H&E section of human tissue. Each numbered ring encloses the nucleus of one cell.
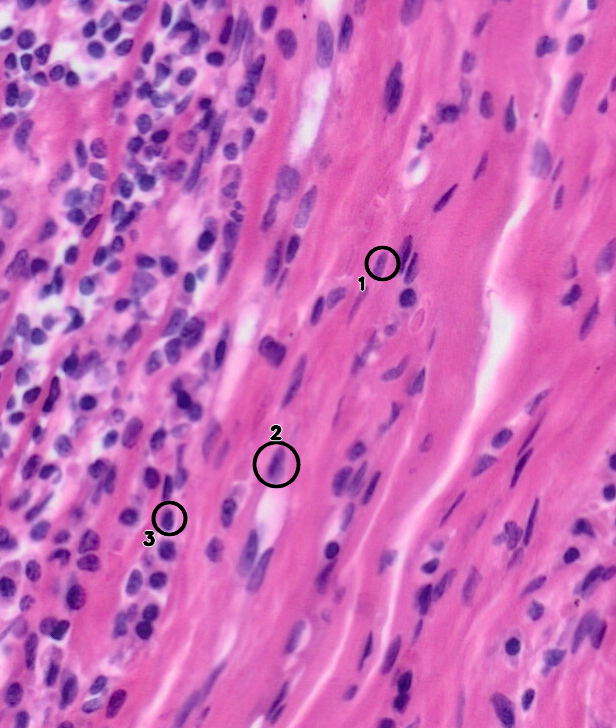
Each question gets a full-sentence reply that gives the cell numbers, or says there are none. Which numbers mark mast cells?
The cells referred to by numbers 1 and 3 are mast cells.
